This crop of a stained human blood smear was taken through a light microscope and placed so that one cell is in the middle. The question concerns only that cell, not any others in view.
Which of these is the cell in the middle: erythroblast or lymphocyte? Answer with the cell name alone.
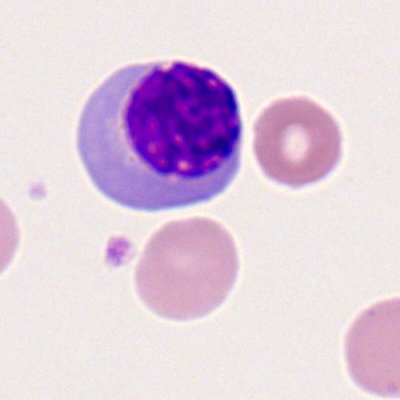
erythroblast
